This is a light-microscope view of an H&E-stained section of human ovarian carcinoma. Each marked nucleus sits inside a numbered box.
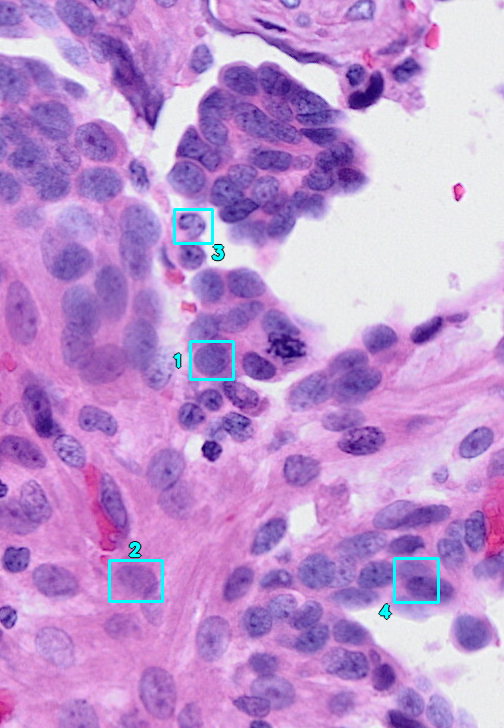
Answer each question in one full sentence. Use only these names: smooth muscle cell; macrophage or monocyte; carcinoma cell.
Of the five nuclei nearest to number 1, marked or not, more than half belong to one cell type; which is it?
The majority of the five nuclei closest to number 1 belong to carcinoma cells.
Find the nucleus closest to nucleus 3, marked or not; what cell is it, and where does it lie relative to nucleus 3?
A macrophage or monocyte lies closest, below nucleus 3.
